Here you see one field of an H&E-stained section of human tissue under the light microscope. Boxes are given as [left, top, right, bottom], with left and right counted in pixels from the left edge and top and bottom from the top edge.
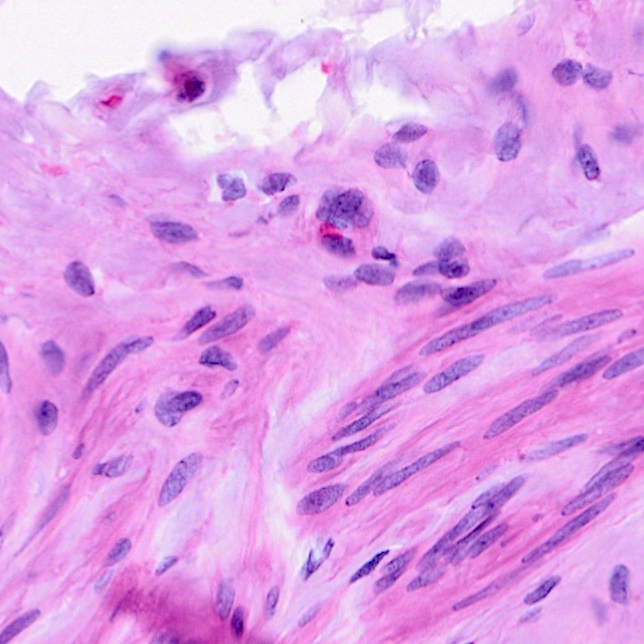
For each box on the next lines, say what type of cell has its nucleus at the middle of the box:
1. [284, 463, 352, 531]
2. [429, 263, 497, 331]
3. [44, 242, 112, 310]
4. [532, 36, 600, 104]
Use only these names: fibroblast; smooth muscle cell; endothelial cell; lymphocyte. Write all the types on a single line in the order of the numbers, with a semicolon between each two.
smooth muscle cell; smooth muscle cell; fibroblast; fibroblast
